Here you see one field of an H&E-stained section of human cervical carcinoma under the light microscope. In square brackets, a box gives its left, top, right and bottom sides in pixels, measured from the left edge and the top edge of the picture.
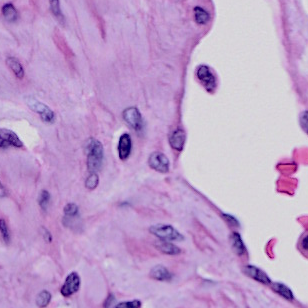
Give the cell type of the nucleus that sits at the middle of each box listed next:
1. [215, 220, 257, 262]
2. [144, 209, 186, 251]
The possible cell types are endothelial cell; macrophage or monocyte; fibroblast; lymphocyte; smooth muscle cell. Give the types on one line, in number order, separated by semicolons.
endothelial cell; smooth muscle cell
